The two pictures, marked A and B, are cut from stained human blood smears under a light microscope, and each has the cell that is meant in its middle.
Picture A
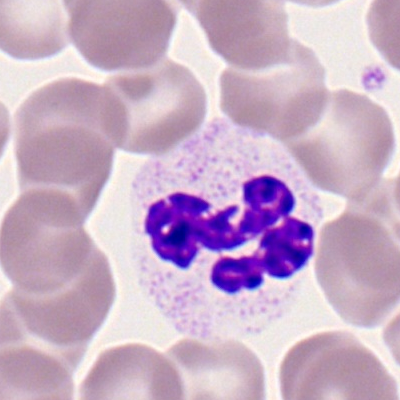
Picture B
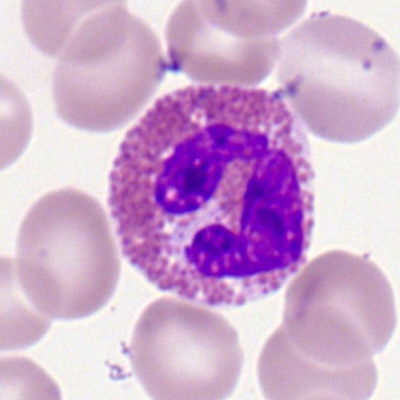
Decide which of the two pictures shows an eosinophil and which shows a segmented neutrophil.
A: segmented neutrophil
B: eosinophil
